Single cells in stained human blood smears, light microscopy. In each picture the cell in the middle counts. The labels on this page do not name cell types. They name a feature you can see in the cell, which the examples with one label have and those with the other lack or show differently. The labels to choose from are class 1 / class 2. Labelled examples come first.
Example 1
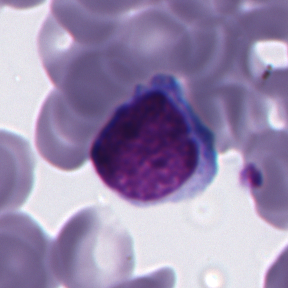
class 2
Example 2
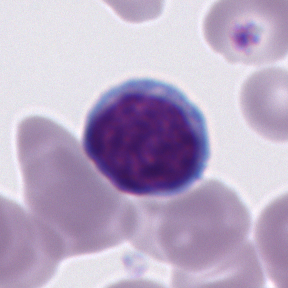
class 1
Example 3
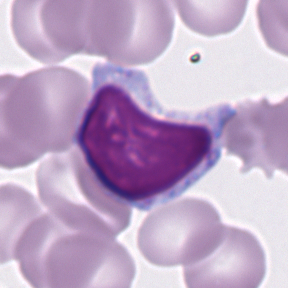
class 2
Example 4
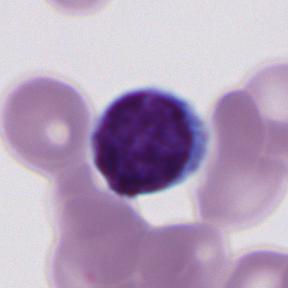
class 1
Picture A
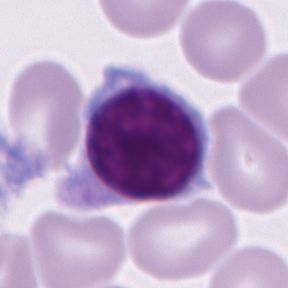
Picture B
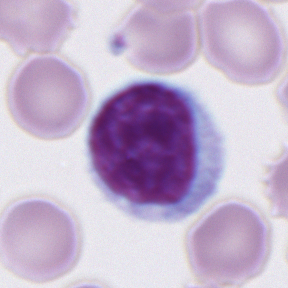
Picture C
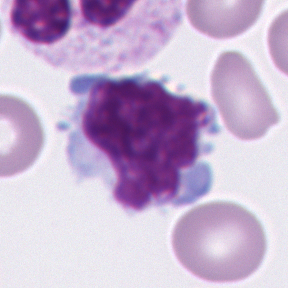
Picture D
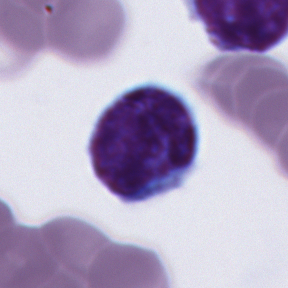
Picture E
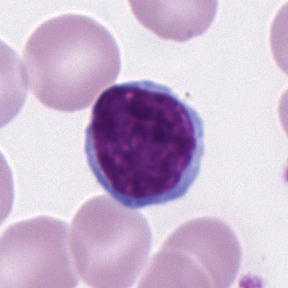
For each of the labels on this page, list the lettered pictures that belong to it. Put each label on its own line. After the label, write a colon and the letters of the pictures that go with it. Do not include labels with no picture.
class 1: B, D, E
class 2: A, C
